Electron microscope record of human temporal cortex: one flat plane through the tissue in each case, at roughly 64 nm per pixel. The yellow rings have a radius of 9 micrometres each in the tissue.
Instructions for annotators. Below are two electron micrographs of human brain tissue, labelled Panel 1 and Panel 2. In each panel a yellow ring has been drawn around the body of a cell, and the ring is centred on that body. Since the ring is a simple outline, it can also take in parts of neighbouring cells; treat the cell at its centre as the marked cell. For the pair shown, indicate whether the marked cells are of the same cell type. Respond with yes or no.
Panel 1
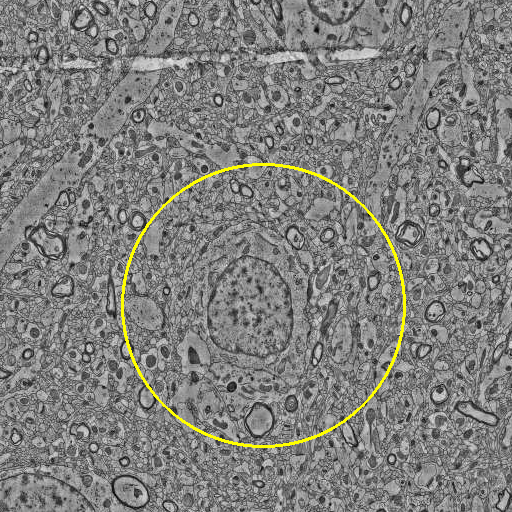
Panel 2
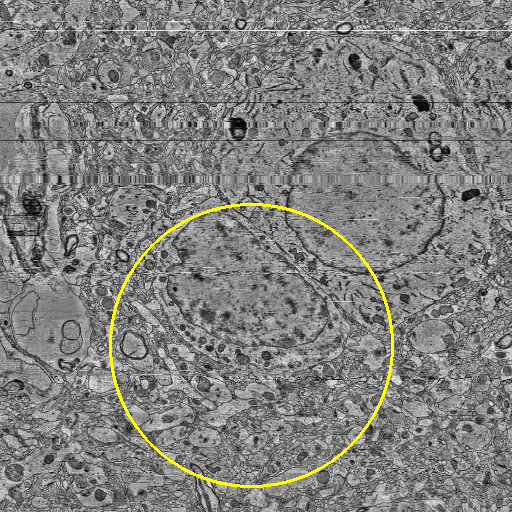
yes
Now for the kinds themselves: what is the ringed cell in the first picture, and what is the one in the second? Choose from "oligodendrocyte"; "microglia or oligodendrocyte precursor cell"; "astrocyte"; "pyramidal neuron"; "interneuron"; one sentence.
In the first picture and in the second, the ring is centred on an interneuron.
